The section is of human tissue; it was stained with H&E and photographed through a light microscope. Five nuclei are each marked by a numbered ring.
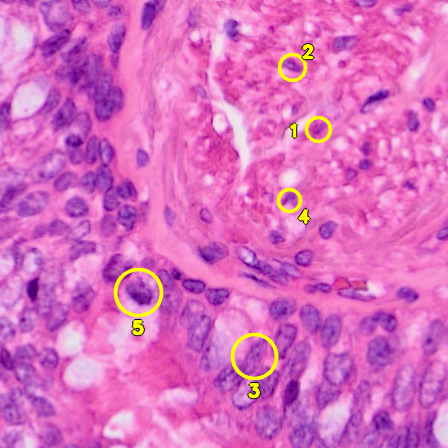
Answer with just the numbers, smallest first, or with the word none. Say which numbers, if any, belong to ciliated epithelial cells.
3, 5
